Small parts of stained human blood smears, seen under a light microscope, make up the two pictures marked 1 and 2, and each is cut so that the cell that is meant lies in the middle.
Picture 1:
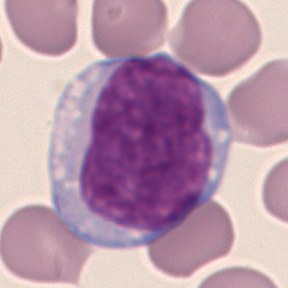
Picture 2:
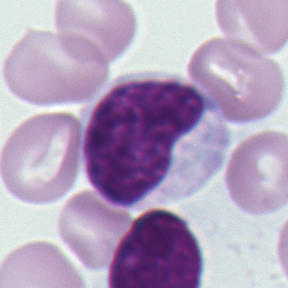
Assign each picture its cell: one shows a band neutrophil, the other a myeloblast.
1: myeloblast
2: band neutrophil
